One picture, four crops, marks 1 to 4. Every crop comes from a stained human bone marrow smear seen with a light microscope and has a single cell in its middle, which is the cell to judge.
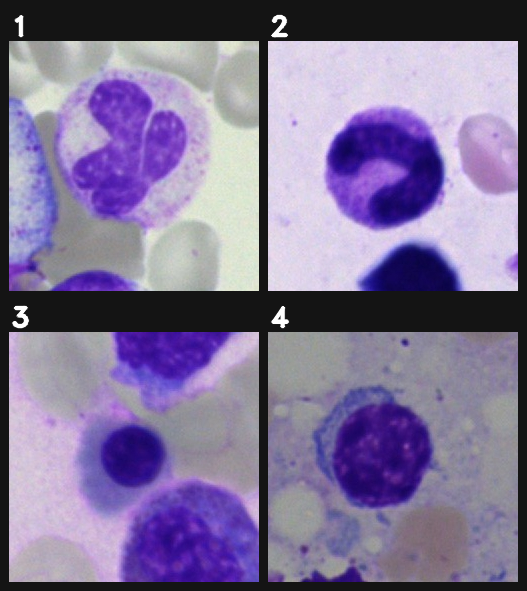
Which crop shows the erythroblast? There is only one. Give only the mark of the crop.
3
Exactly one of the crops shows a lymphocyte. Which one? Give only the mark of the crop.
4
